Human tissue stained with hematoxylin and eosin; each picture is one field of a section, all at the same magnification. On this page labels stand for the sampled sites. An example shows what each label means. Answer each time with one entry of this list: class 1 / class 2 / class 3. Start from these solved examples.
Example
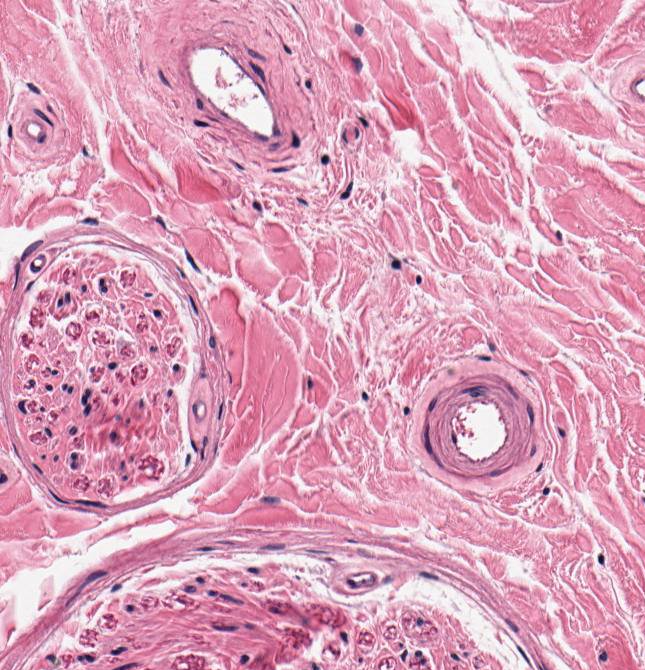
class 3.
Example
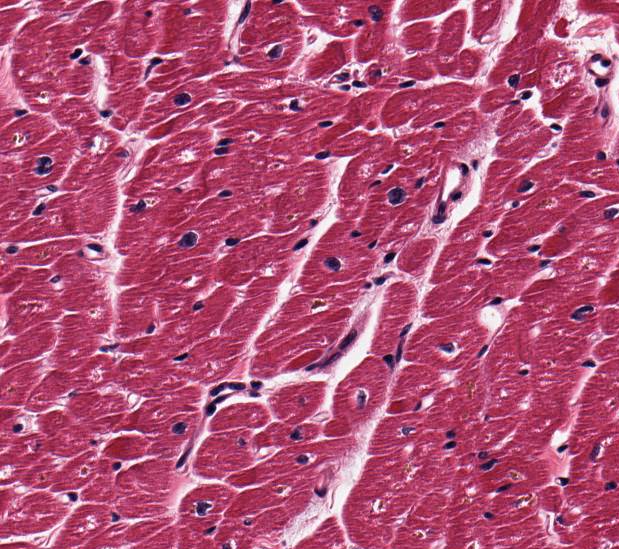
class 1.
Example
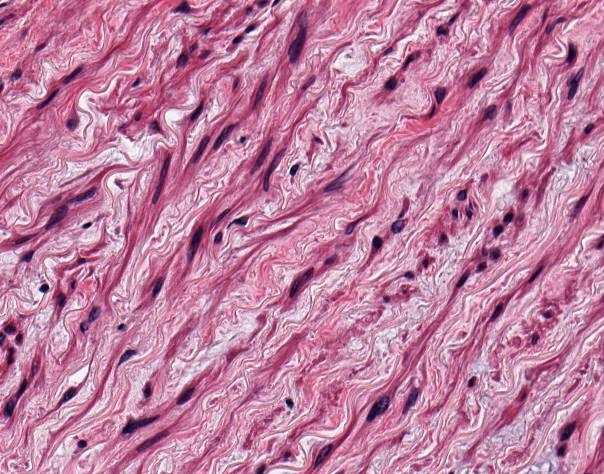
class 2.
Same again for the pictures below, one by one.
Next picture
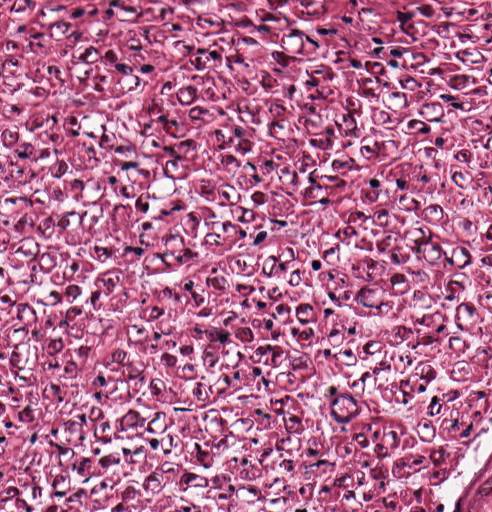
class 3.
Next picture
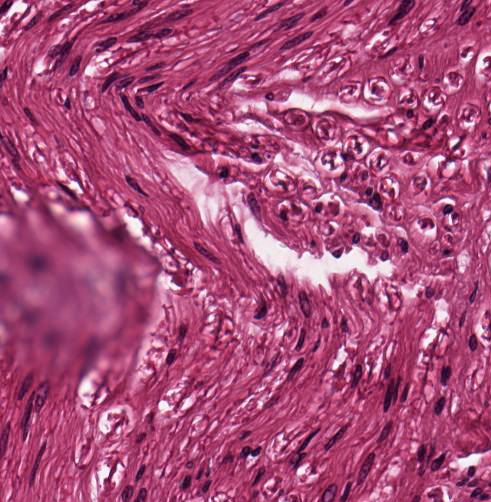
class 3.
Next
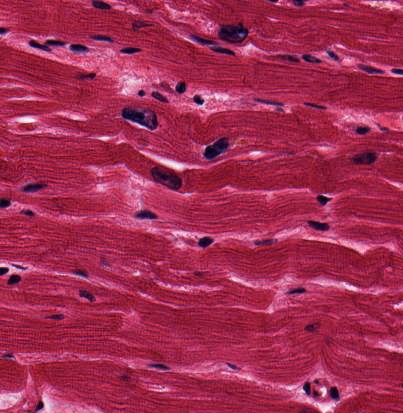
class 1.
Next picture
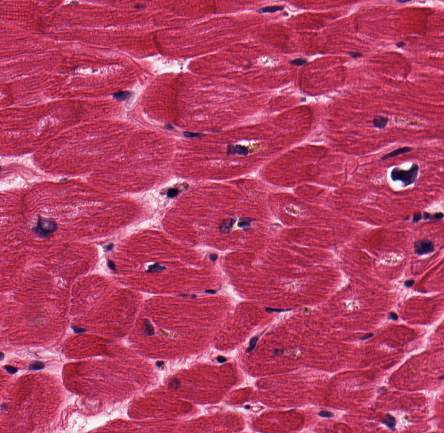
class 1.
